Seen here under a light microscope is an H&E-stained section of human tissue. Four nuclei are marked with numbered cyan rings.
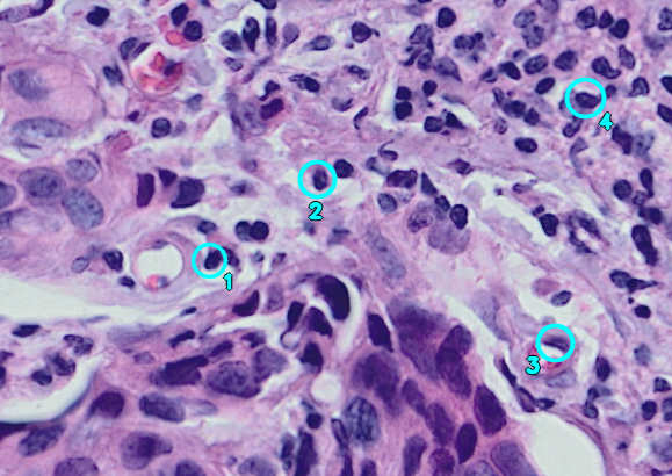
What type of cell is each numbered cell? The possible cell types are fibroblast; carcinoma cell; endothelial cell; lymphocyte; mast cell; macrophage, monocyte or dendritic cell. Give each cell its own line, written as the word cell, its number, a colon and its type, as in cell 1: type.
cell 1: lymphocyte
cell 2: lymphocyte
cell 3: endothelial cell
cell 4: lymphocyte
